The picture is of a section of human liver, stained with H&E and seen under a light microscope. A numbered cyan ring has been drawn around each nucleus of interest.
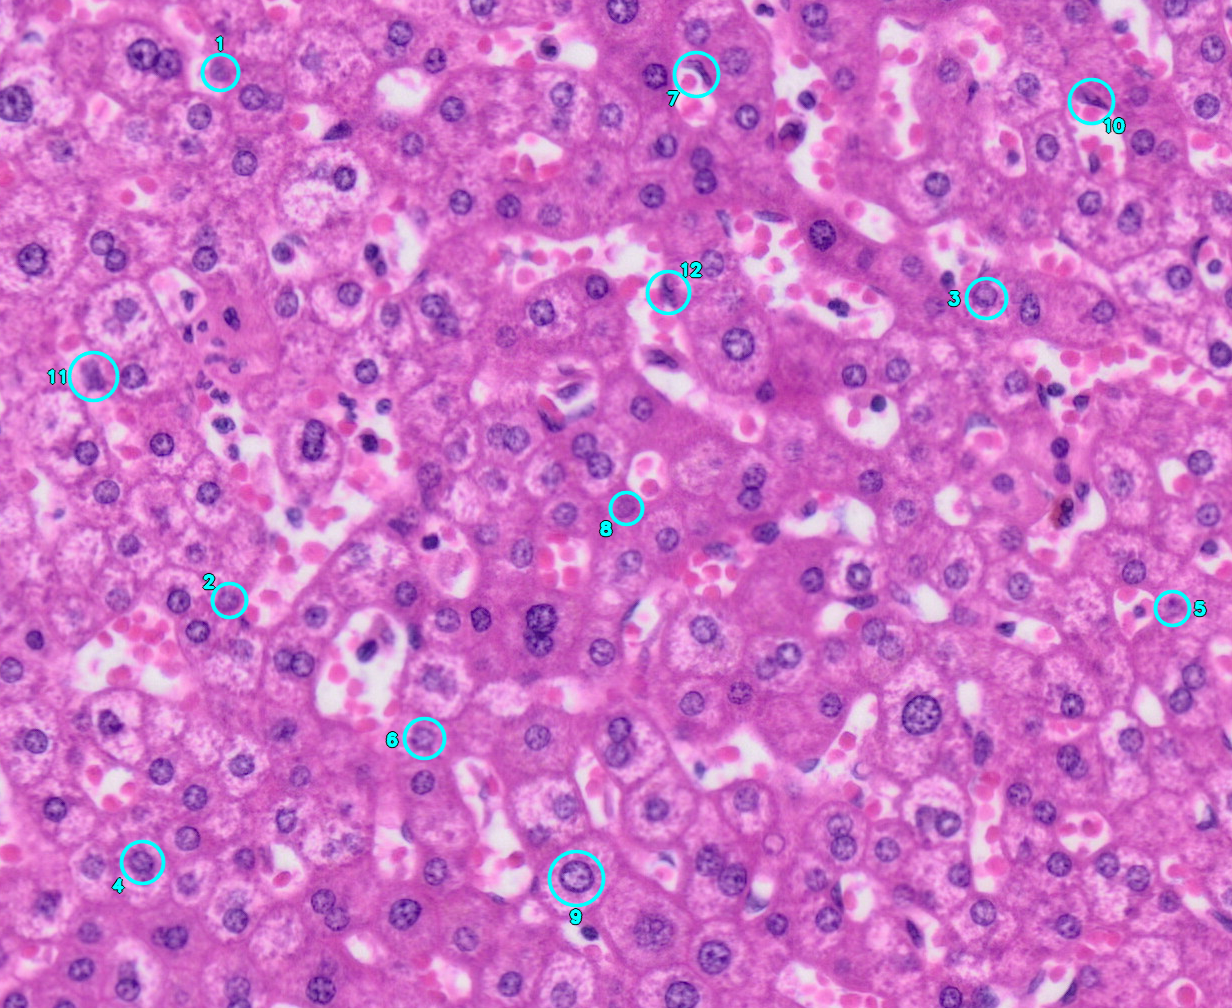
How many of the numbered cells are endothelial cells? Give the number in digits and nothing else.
4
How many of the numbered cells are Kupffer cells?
1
